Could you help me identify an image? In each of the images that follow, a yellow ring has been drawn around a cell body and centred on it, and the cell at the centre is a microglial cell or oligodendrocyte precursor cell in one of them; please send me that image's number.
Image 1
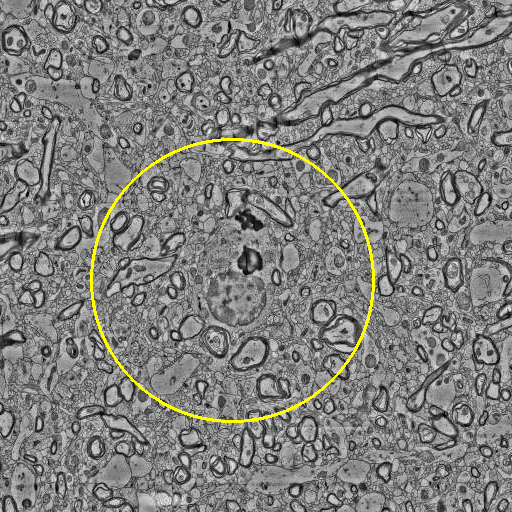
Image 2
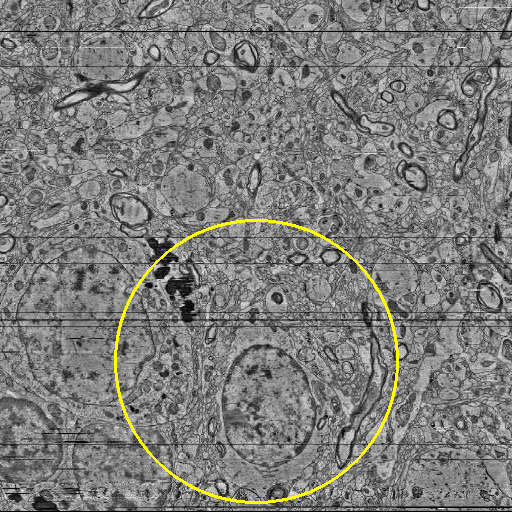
2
